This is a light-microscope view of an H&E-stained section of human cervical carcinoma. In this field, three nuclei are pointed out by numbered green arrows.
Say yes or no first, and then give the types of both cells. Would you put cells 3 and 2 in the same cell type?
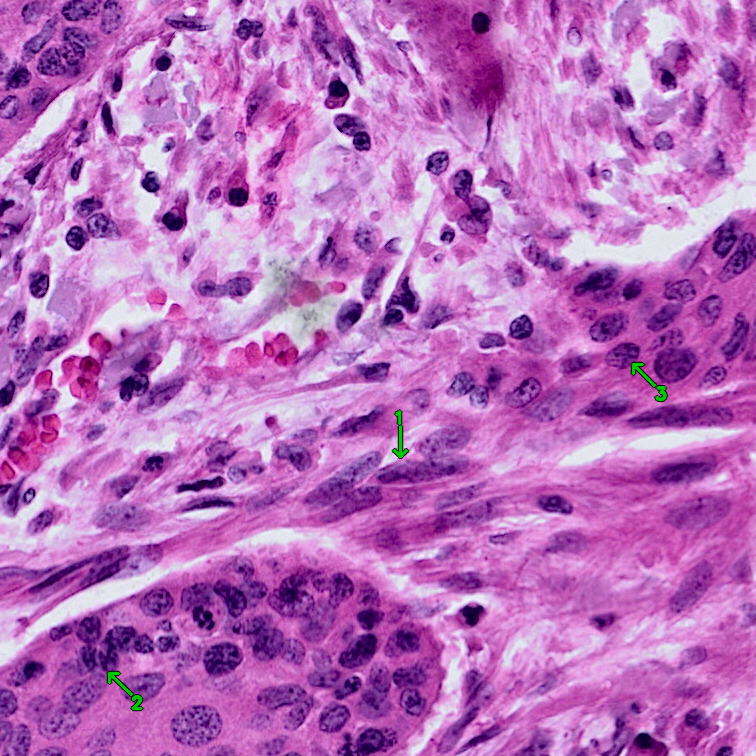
Yes, cells 3 and 2 are both identified as squamous carcinoma cells.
